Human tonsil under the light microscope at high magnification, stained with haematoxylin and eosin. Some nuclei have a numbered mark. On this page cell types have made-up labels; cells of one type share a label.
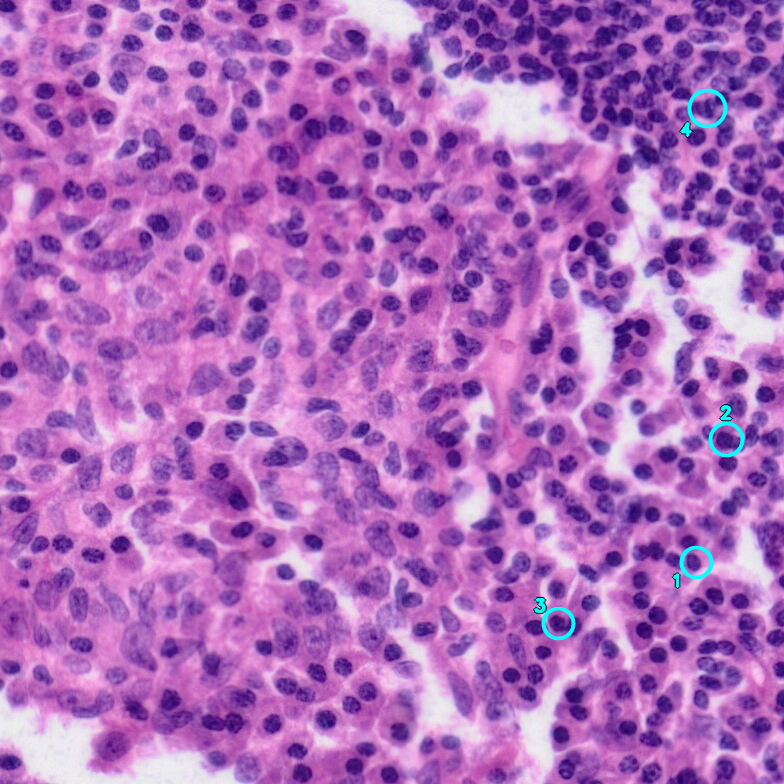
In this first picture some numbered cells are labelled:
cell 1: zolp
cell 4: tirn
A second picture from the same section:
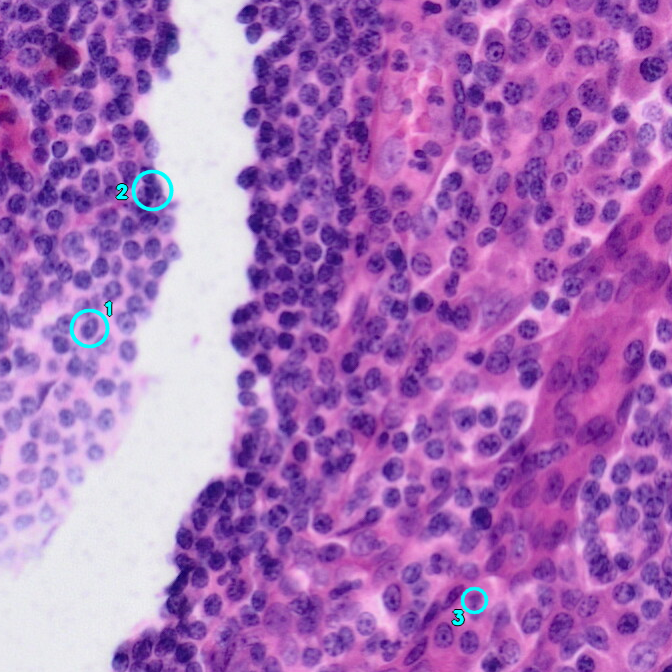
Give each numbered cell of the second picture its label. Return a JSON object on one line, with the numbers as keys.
{"1": "tirn", "2": "tirn", "3": "zolp"}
